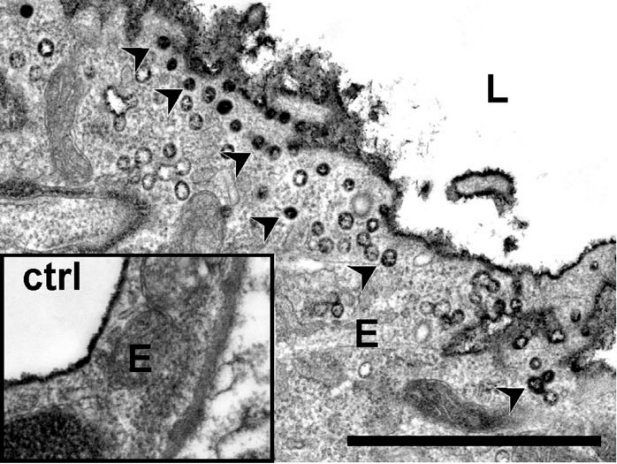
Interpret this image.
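This is an endothelial cell lining a small blood vessel, with the empty lumen above and the cell body below. The luminal surface of the cell is coated with a dark, fuzzy electron-dense layer. Crowded in the cytoplasm just beneath this surface are many small round vesicles, several of them filled with or rimmed by dark material. Elongated mitochondria and other organelles lie deeper in the cell.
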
